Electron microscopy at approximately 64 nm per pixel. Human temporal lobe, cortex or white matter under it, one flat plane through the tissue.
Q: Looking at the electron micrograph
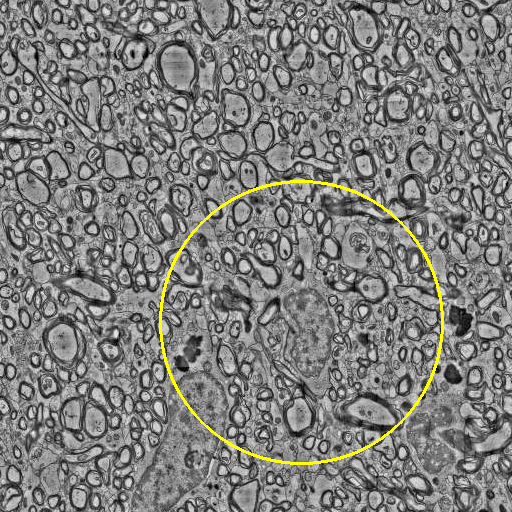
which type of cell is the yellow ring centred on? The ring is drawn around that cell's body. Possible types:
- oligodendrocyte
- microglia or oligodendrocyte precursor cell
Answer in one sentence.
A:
The yellow ring is centred on an oligodendrocyte.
